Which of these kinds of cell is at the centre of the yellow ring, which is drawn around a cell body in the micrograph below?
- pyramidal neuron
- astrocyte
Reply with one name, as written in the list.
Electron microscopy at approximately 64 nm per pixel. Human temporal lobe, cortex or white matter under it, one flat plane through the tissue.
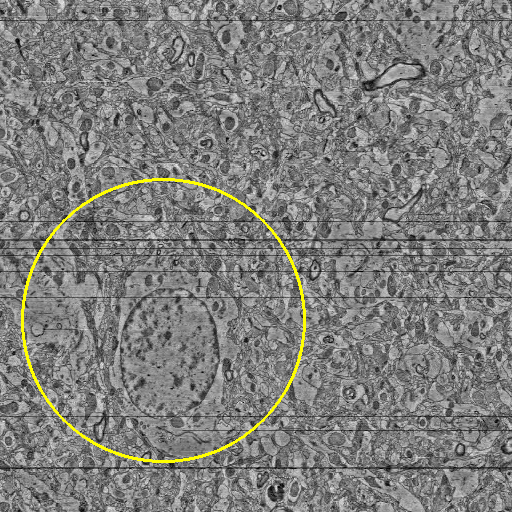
astrocyte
